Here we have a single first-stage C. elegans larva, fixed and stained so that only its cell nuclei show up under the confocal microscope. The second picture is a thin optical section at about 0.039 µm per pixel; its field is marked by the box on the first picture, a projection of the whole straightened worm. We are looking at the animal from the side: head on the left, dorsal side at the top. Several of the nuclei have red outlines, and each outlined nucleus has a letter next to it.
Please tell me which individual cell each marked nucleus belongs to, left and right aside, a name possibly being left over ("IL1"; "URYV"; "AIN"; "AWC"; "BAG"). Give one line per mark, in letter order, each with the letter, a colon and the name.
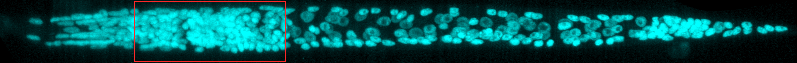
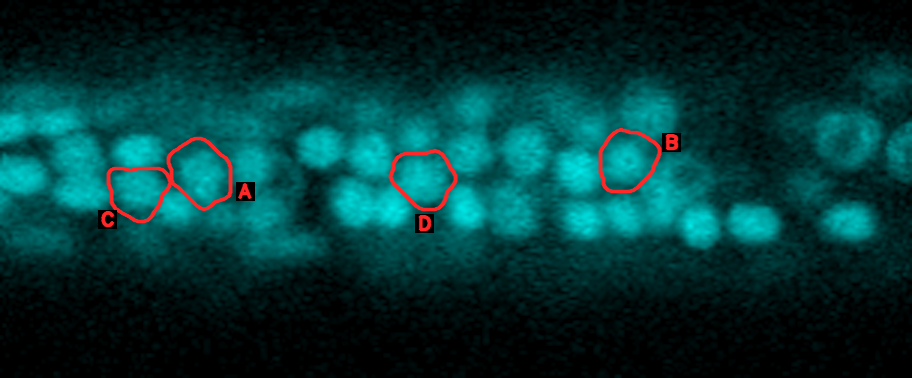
A: BAG
B: AIN
C: IL1
D: AWC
